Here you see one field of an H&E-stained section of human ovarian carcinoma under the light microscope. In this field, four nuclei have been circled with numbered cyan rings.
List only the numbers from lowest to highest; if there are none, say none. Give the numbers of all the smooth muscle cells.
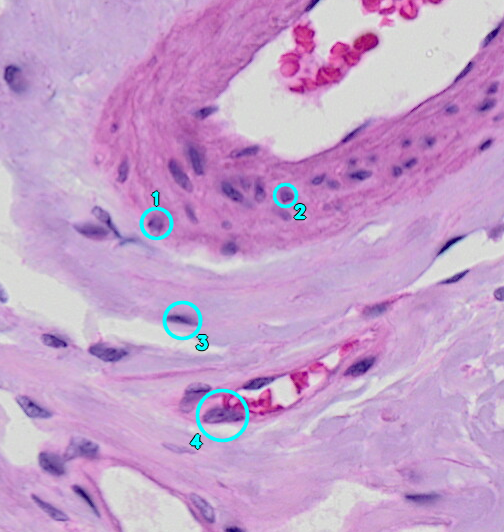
1, 2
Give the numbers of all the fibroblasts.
3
